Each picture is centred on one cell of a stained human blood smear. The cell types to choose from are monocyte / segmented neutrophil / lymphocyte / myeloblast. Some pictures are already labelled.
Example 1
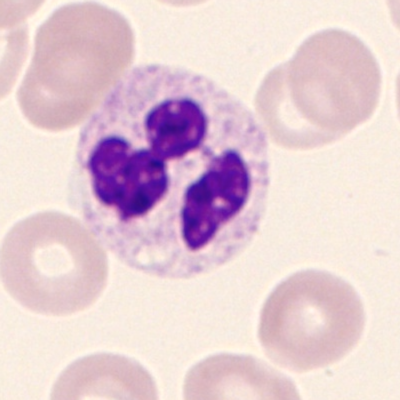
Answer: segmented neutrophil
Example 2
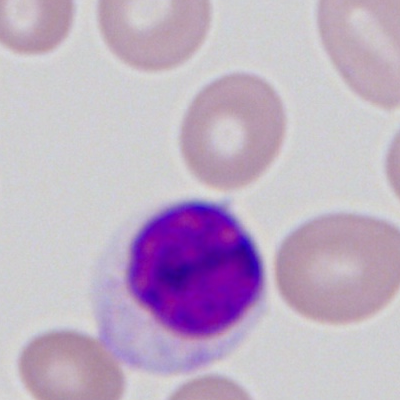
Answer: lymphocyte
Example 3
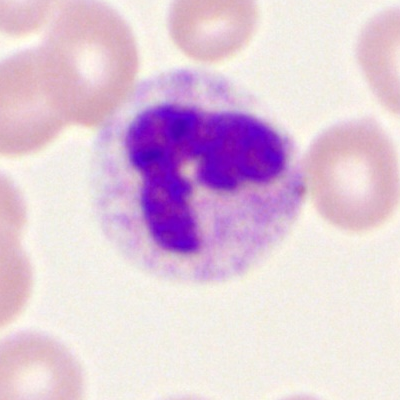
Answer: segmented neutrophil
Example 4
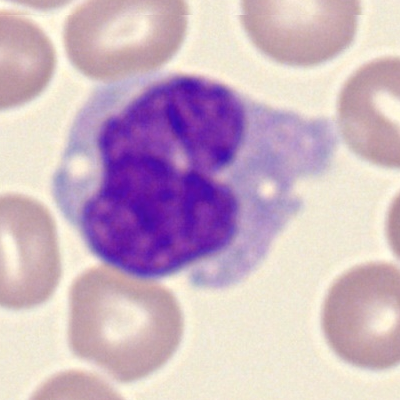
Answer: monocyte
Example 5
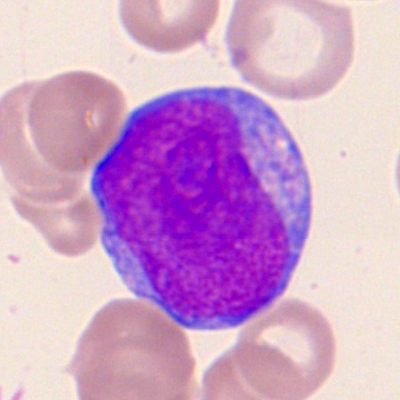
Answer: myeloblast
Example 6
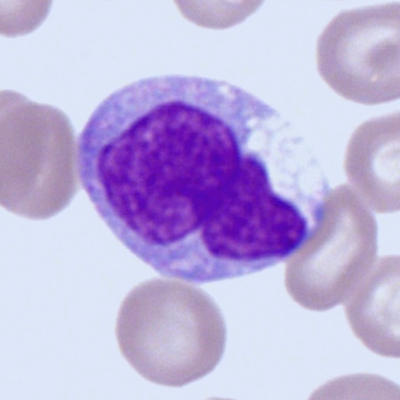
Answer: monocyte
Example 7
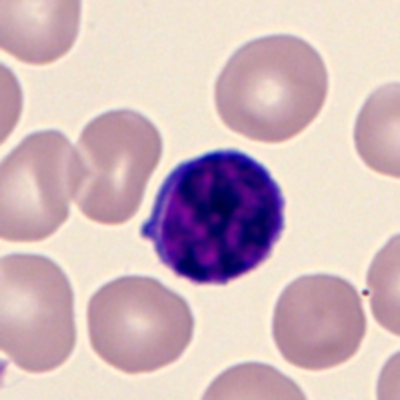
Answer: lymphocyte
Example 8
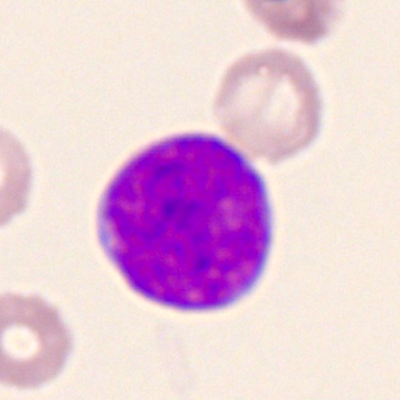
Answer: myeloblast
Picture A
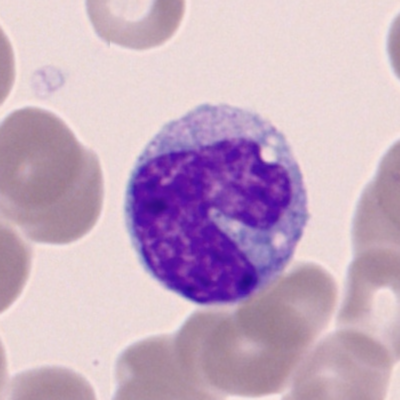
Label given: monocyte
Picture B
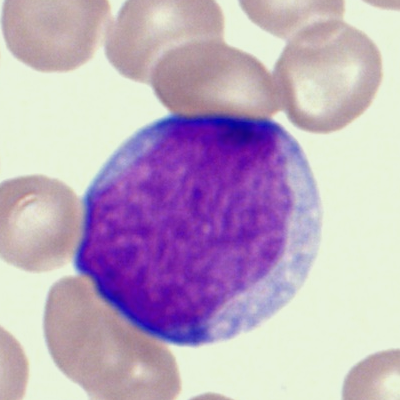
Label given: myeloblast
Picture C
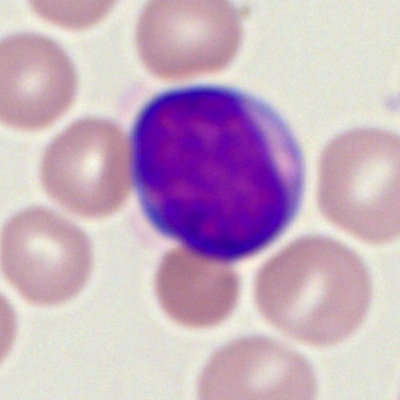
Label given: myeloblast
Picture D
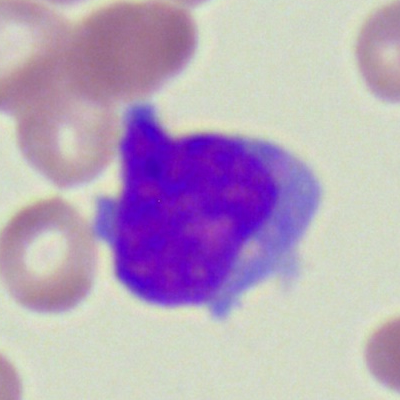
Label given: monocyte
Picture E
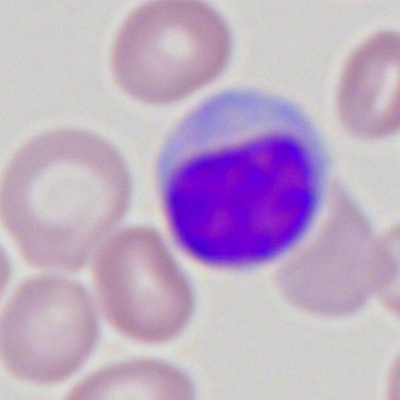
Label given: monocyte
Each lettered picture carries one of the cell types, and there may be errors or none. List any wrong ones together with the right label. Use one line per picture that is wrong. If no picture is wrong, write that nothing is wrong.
Wrong: E (monocyte); correct: lymphocyte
